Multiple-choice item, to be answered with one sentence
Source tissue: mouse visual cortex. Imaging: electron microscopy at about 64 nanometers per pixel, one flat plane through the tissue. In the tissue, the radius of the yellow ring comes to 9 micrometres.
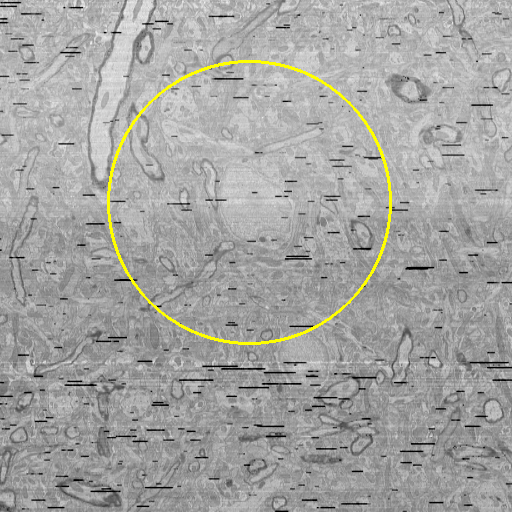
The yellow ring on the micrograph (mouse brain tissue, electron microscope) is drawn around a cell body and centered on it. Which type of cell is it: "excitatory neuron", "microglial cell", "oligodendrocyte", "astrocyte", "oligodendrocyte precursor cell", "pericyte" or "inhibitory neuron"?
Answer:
The ring is centered on an oligodendrocyte precursor cell.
